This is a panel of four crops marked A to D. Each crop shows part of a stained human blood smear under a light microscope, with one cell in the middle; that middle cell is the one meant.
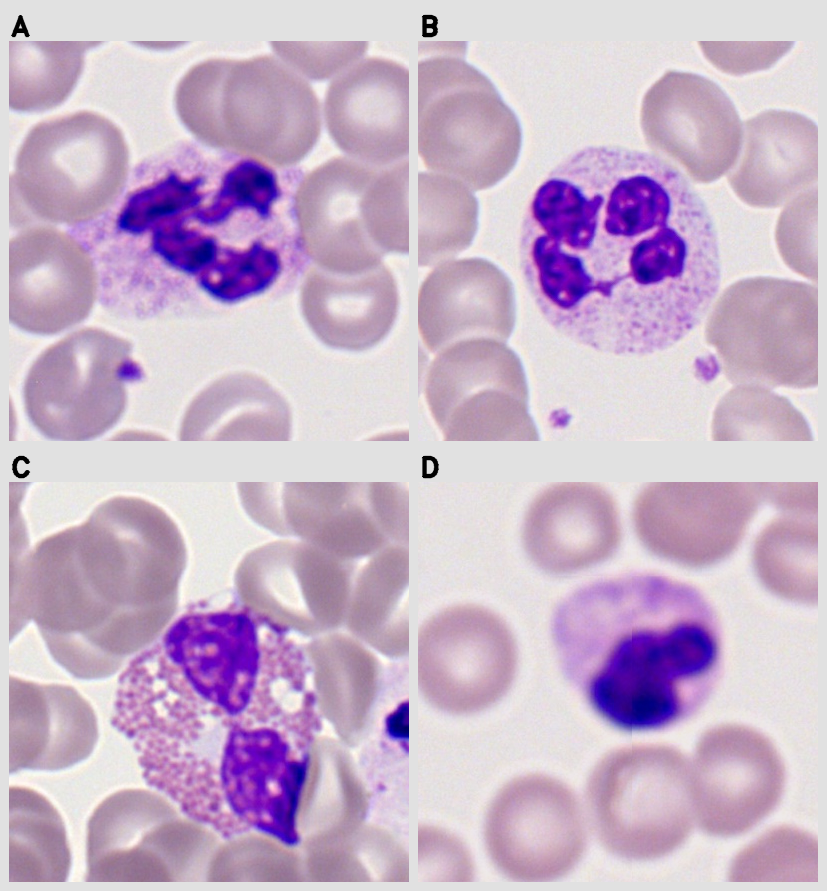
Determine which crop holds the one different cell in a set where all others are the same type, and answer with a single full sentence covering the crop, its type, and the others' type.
Crop C is singled out as an eosinophil, and all of the other crops show segmented neutrophils.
